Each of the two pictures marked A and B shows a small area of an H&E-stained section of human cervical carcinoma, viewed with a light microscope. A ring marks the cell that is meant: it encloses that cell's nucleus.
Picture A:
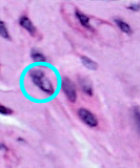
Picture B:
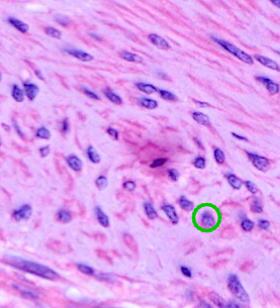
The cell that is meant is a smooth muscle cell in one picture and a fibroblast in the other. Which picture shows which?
A: fibroblast
B: smooth muscle cell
